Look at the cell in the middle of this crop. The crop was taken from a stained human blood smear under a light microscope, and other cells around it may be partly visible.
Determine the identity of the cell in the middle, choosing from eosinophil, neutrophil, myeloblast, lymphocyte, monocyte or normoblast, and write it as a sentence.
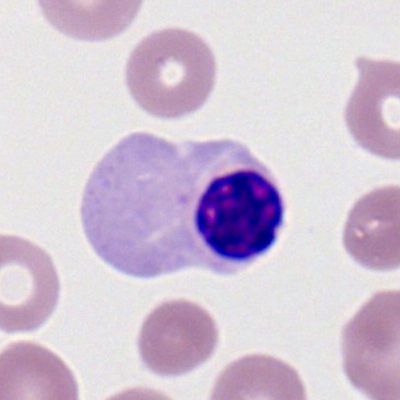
The cell positioned in the middle of the field is a normoblast.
